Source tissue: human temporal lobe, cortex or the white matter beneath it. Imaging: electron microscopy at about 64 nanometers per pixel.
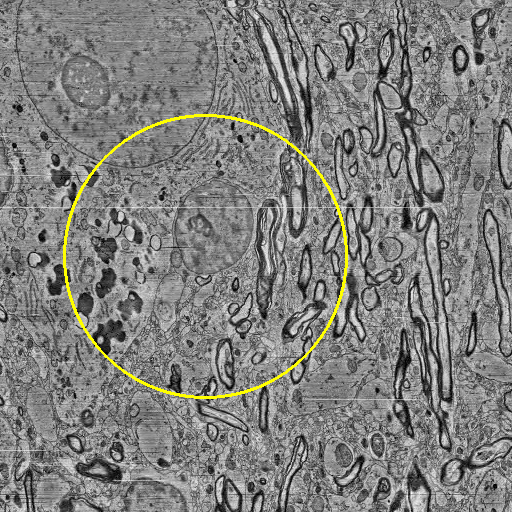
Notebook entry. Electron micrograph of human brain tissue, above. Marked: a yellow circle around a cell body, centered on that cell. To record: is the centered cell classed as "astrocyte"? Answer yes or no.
No, the centered cell belongs to another kind.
